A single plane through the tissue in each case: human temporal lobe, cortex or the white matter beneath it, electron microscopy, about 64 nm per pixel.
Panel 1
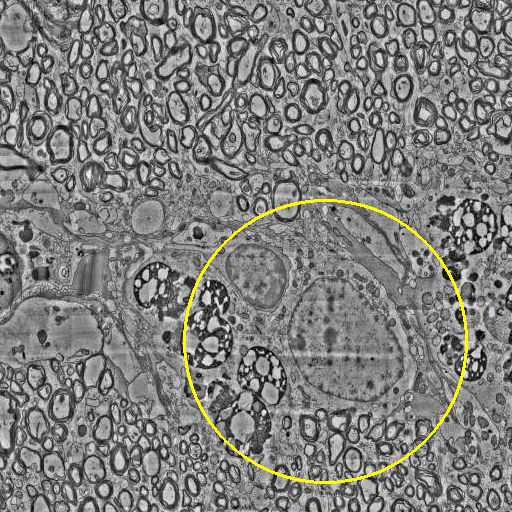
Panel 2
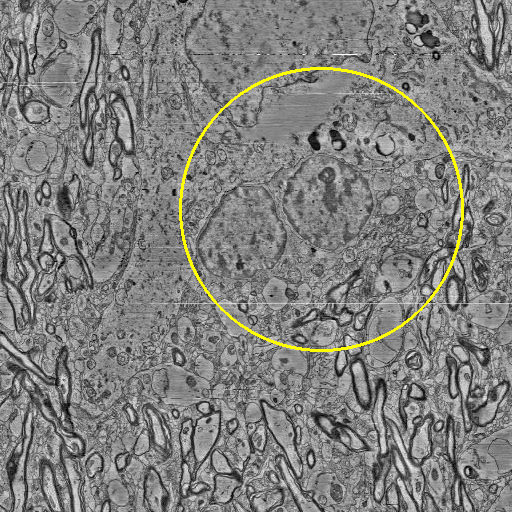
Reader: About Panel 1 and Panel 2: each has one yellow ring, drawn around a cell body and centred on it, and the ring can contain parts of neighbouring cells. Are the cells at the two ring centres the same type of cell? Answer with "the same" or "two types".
two types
